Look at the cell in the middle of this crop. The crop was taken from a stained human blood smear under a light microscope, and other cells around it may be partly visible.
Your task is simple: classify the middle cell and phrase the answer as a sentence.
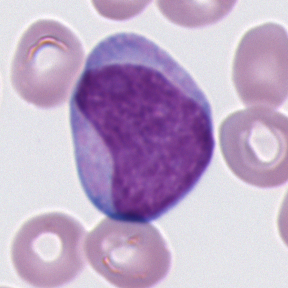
In the central position of this crop, the cell is an atypical promyelocyte.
